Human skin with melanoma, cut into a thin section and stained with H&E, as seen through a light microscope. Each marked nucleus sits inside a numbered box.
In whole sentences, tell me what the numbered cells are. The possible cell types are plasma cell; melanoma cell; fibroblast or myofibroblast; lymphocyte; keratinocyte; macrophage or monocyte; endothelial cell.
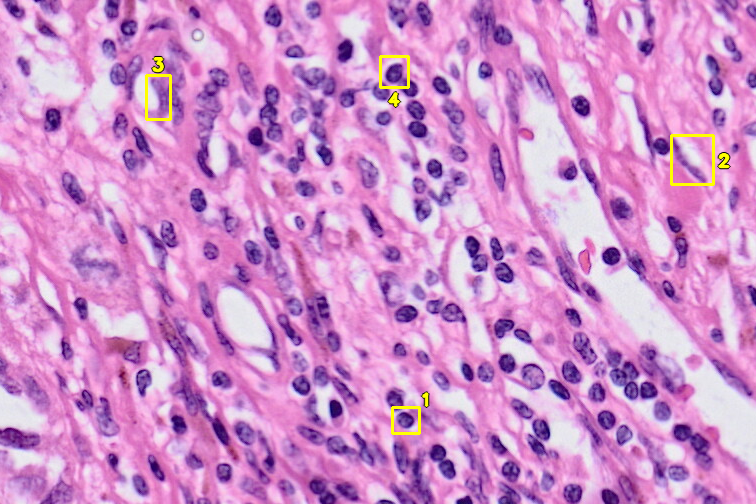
Cell 1 is a lymphocyte, cell 2 is a fibroblast or myofibroblast, cell 3 is an endothelial cell and cell 4 is a lymphocyte.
